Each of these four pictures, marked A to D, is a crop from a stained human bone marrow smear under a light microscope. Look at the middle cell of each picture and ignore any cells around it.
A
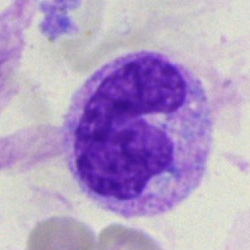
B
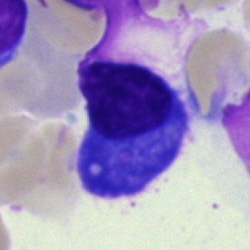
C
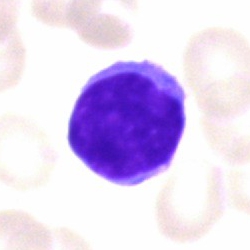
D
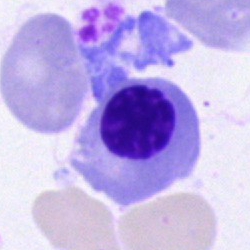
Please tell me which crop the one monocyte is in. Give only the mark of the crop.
A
